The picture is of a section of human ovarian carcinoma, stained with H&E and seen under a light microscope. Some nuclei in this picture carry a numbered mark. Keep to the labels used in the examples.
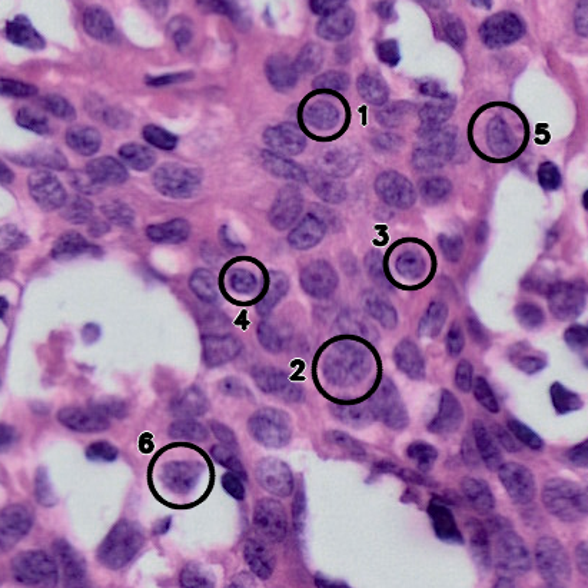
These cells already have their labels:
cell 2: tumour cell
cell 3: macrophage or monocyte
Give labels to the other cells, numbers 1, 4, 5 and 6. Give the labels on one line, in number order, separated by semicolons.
tumour cell; macrophage or monocyte; tumour cell; macrophage or monocyte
